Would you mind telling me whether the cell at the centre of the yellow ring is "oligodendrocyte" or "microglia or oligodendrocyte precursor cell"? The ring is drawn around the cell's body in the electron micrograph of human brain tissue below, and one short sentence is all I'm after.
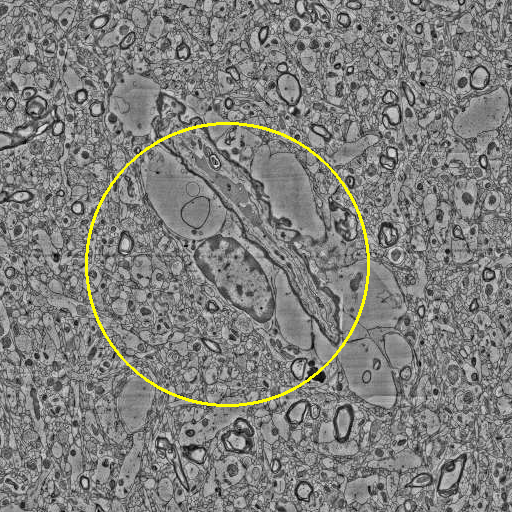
In the centre of the ring lies a microglial cell or oligodendrocyte precursor cell.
